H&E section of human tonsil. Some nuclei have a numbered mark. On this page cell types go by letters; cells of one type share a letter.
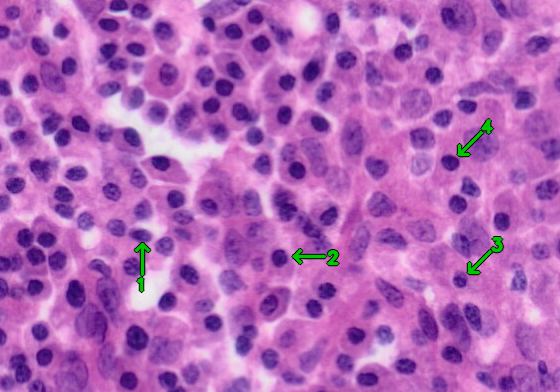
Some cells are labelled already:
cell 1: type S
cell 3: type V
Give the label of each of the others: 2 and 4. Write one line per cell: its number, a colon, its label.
2: type S
4: type S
